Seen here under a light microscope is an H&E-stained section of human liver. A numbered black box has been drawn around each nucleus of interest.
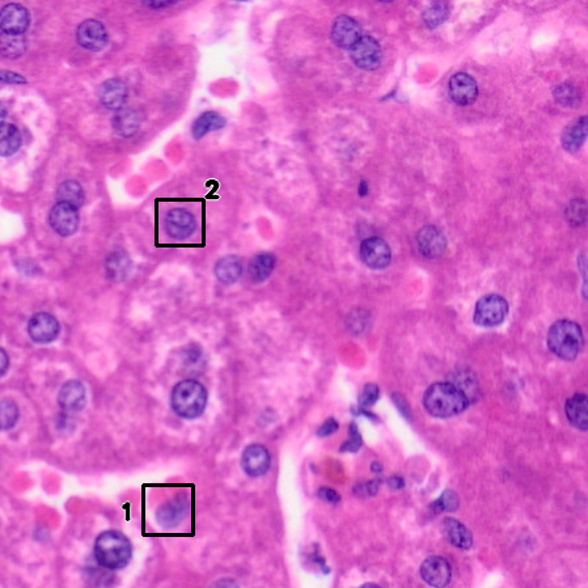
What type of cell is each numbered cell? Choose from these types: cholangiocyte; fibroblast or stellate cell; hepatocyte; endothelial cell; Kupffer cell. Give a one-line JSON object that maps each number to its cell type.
{"1": "endothelial cell", "2": "hepatocyte"}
